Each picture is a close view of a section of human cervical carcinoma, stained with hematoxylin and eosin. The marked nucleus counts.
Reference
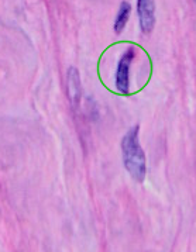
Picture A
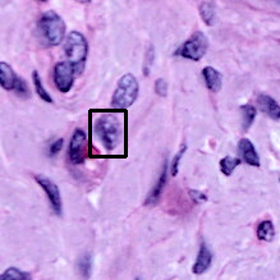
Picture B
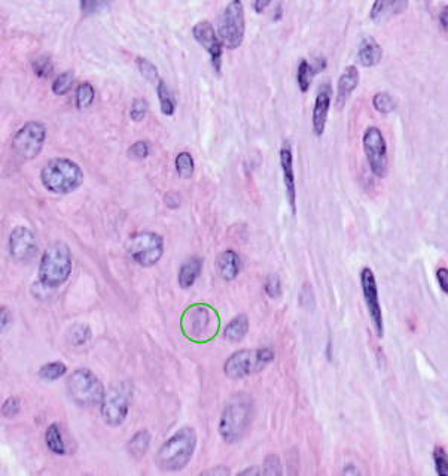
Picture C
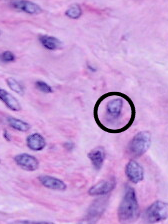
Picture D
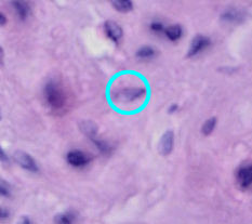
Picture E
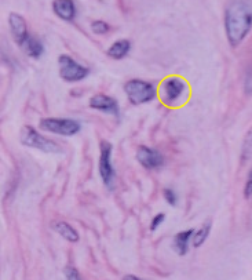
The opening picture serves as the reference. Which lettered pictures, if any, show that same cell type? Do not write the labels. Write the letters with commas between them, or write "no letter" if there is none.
D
